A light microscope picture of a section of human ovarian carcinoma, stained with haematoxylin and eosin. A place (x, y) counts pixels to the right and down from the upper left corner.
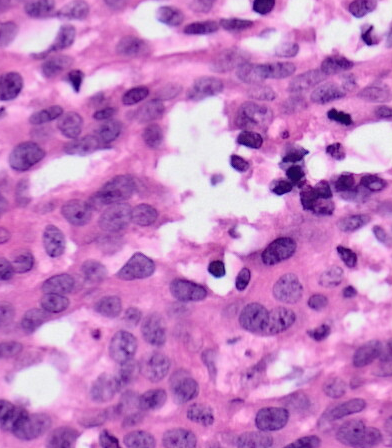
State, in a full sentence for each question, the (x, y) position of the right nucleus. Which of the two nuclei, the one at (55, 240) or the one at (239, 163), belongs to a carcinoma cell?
Of the pair, the nucleus positioned at (239, 163) is that of a carcinoma cell.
